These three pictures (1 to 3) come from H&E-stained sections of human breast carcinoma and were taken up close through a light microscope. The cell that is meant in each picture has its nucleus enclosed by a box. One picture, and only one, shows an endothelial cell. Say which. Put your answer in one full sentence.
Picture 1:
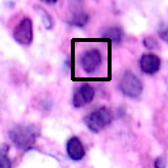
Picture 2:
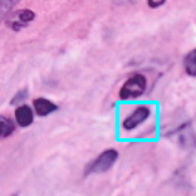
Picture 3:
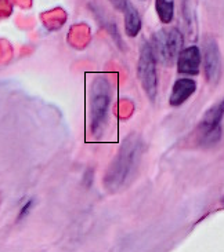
The picture with the endothelial cell is 3.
